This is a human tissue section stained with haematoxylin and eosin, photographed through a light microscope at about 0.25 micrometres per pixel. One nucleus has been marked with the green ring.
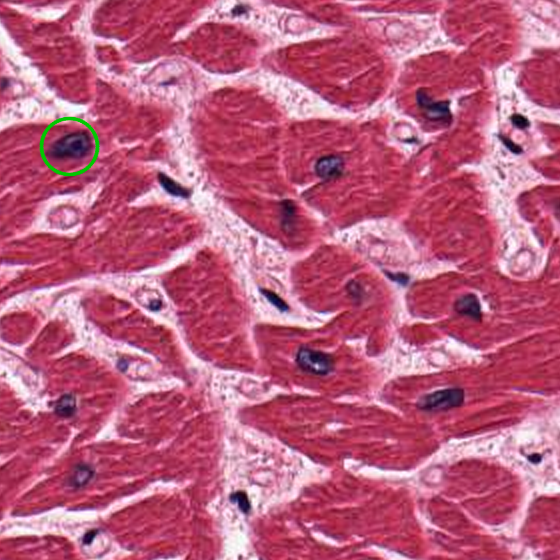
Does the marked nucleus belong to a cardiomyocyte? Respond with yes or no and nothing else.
yes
